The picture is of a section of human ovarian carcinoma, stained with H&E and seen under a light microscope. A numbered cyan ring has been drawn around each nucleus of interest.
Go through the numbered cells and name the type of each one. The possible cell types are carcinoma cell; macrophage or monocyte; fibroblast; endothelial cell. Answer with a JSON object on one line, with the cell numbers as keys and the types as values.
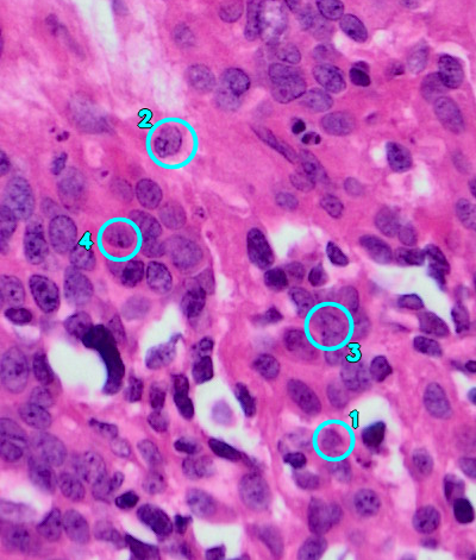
{"1": "carcinoma cell", "2": "macrophage or monocyte", "3": "carcinoma cell", "4": "carcinoma cell"}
